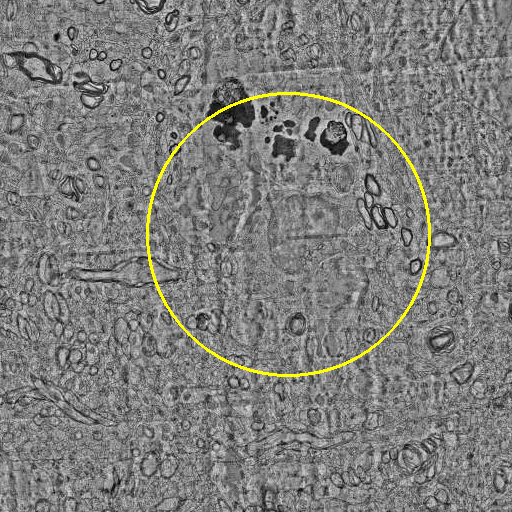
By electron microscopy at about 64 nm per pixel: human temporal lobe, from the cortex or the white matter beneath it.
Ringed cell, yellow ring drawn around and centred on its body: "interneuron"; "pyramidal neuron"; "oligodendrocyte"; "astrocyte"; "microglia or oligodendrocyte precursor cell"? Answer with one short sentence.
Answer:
This ringed cell is an oligodendrocyte.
